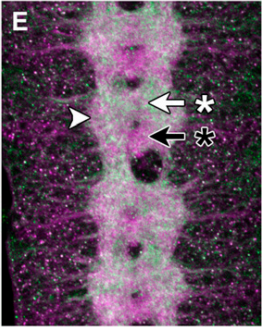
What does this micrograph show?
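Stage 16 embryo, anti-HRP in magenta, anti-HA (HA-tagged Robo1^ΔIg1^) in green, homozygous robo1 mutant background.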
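The embryonic axon scaffold here is disorganised: the commissures are thickened and partly merged, leaving only small, irregular gaps between segments, and the longitudinal pathways lie close to the midline. The green signal covers the longitudinal pathways and also extends across the commissures.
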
